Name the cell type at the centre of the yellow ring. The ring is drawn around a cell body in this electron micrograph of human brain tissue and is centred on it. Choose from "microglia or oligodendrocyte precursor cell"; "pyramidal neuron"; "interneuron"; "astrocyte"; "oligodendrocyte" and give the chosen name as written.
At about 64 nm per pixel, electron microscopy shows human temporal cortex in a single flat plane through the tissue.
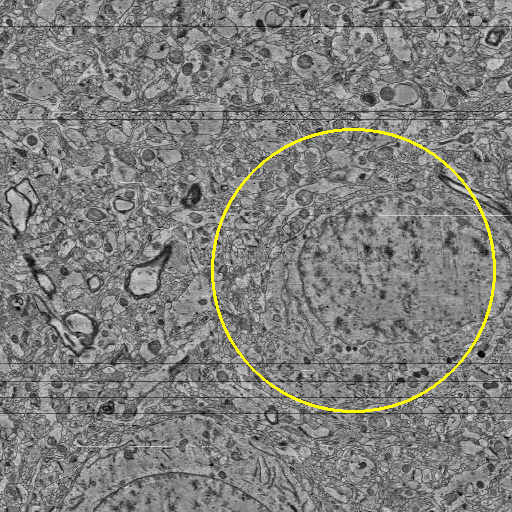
interneuron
